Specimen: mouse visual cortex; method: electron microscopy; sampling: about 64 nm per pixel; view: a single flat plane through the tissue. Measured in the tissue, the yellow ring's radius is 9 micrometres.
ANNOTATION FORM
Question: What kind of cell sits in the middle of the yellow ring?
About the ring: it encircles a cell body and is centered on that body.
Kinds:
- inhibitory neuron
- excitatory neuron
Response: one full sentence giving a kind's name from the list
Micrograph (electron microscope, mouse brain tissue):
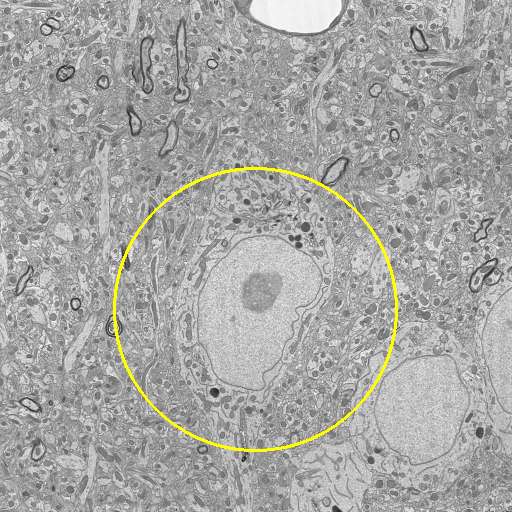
The kind of cell found at the center of the yellow ring in the micrograph is an inhibitory neuron.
